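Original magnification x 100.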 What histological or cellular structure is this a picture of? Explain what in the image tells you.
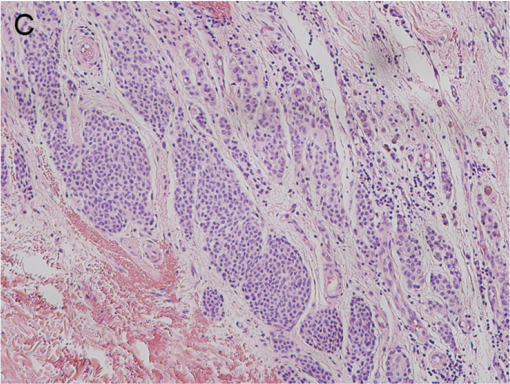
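Small rounded and elongated nests of small uniform cells with dark round nuclei. Nests lie separated by bands of pink collagen.
Conventional dermal nevus nests.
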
